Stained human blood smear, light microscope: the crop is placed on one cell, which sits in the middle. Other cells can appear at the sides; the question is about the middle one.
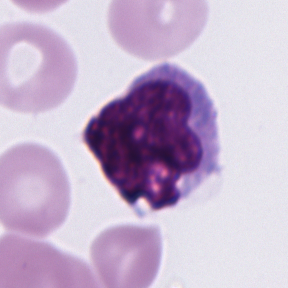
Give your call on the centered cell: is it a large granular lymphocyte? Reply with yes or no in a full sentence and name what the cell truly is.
No, sorry, the middle cell is a monocyte rather than a large granular lymphocyte.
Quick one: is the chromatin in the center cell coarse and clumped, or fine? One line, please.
If you check the nucleus, you will find the chromatin coarsely clumped.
